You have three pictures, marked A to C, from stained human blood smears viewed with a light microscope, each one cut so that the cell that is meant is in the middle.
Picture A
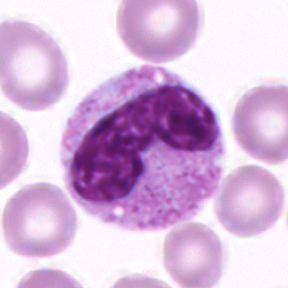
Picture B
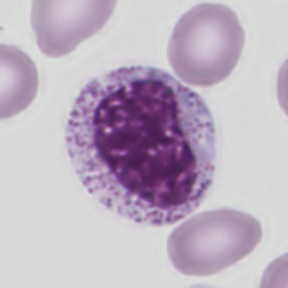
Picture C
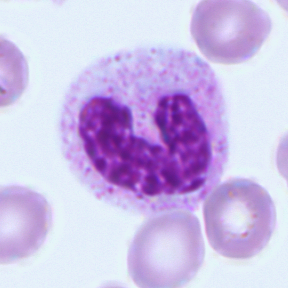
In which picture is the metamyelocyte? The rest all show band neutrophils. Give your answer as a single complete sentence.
The metamyelocyte is the one in picture B.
